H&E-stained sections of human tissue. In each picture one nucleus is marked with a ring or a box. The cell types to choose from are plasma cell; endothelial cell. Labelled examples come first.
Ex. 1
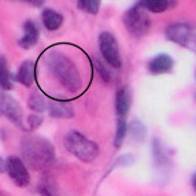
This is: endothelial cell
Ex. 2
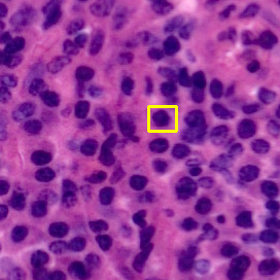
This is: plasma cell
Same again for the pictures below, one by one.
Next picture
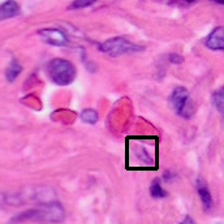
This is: endothelial cell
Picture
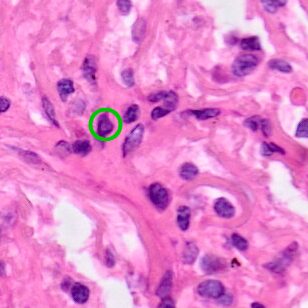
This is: plasma cell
